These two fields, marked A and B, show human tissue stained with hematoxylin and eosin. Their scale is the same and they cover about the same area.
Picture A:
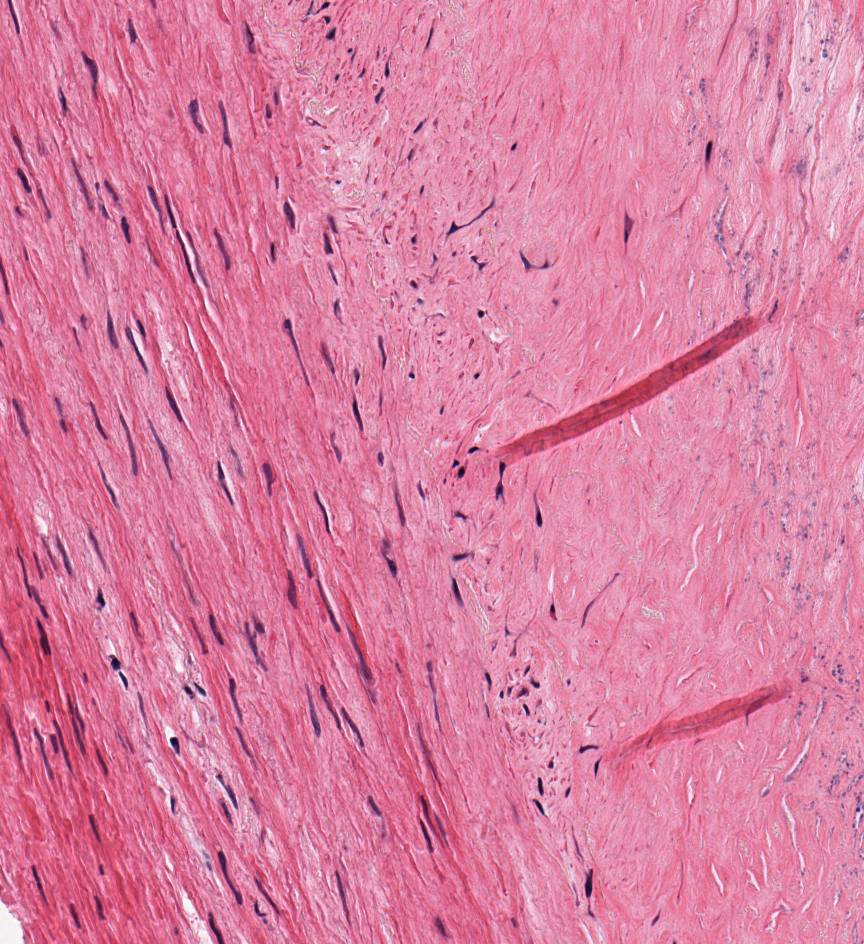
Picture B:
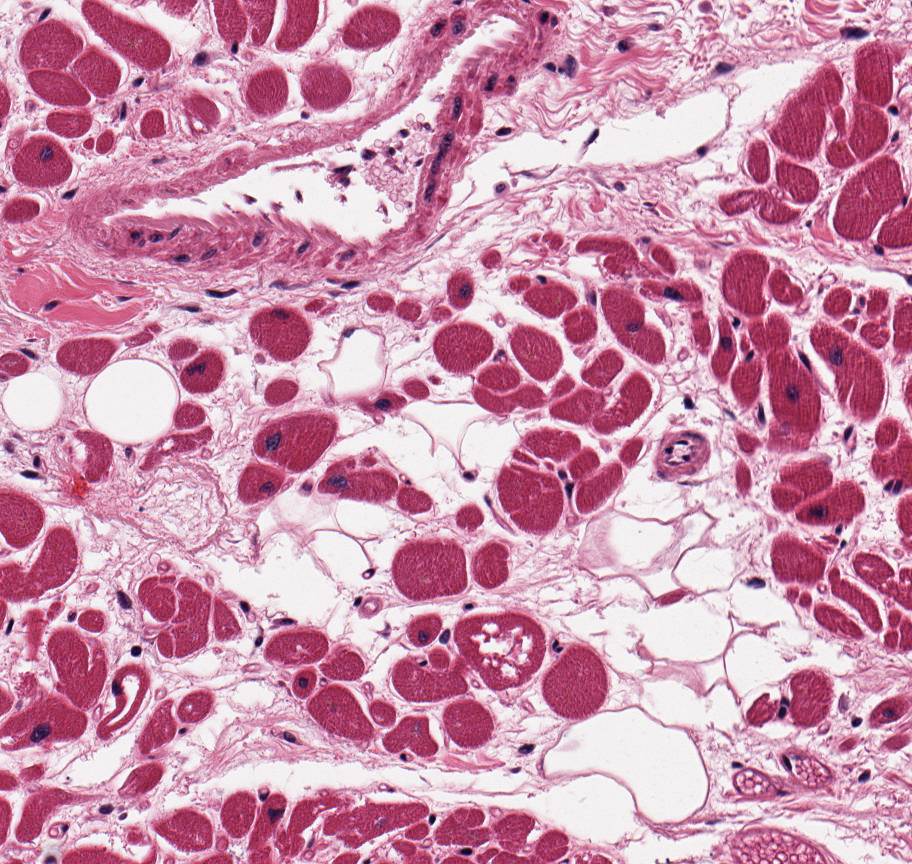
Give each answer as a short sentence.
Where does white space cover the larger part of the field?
Unstained space takes up more of picture B than of picture A.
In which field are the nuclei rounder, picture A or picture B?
Rounder nuclei lie in picture B.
